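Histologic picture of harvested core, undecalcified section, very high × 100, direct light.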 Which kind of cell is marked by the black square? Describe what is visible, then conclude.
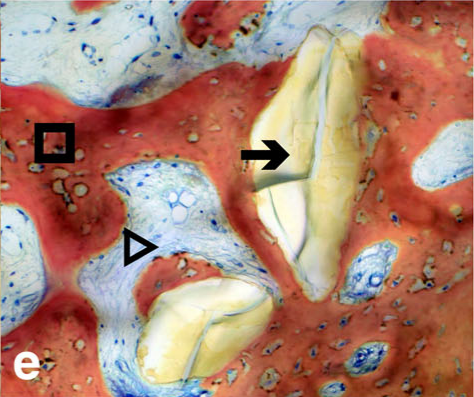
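The square sits in red-stained bone matrix. Small dark lacunae with cells are scattered through the red matrix.
Osteocytes.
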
